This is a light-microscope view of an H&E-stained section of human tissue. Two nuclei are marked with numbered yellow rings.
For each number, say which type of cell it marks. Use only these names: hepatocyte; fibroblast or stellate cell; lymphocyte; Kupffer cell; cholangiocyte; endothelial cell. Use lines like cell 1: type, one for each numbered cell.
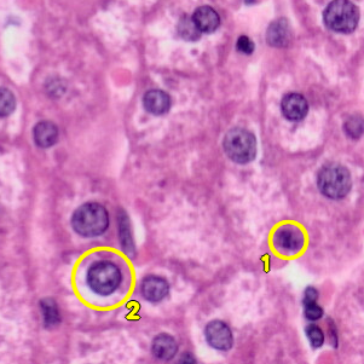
cell 1: fibroblast or stellate cell
cell 2: hepatocyte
